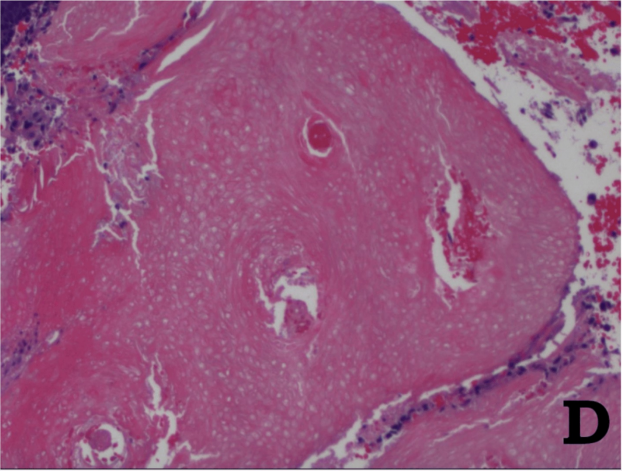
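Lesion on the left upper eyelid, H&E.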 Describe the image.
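A mass of eosinophilic shadow or ghost cells fills the field, staining pink with faint cell outlines and pale central spaces where nuclei have been lost. No basophilic nuclei are seen within the mass, and only a thin rim of stroma with a few nucleated cells and red blood cells borders it.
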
